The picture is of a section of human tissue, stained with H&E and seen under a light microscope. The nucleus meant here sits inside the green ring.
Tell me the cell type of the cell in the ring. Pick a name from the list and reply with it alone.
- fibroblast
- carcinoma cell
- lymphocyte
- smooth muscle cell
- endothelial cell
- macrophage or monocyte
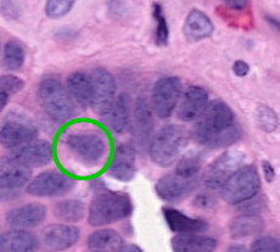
carcinoma cell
